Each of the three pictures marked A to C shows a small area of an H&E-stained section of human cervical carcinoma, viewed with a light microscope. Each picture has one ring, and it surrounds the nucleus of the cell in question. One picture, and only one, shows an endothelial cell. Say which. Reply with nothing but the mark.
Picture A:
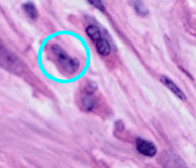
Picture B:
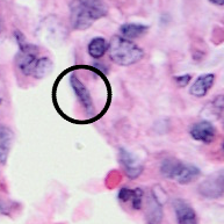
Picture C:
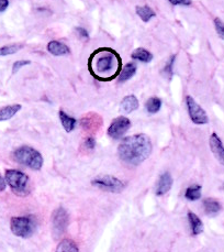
B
